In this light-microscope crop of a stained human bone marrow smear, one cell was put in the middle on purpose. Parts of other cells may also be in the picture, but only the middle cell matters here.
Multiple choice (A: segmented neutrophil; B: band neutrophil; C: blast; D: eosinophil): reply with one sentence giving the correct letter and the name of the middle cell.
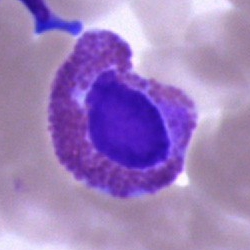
The correct option, D, names the middle cell as an eosinophil.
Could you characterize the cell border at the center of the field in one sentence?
Irregularity marks the cell border, whether as raggedness or as projections.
